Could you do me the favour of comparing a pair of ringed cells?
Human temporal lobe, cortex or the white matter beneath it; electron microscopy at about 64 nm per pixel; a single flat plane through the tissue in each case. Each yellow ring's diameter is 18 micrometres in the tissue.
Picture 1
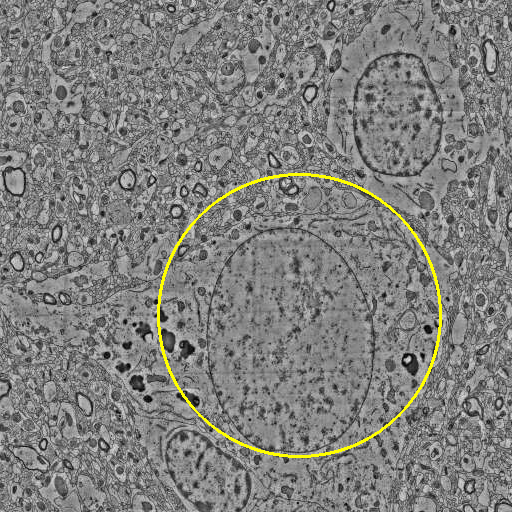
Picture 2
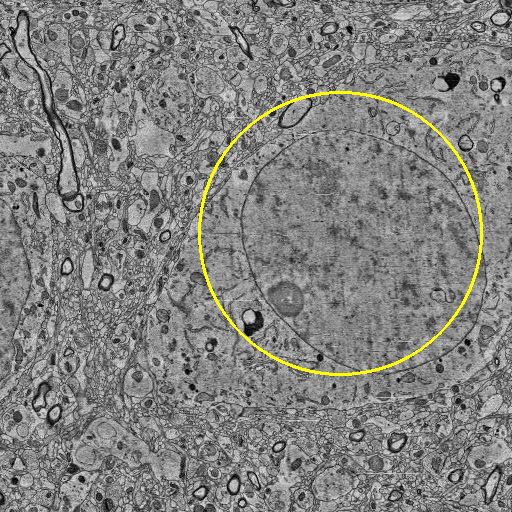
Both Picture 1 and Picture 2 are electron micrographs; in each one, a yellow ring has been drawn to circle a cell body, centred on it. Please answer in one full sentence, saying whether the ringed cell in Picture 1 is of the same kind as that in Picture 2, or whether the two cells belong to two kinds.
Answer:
The ringed cell in Picture 1 is of the same kind as that in Picture 2.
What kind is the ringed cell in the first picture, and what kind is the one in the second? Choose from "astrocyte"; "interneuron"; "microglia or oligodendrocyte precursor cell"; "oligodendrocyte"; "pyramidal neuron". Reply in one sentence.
The cell at the ring centre is a pyramidal neuron in both pictures.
